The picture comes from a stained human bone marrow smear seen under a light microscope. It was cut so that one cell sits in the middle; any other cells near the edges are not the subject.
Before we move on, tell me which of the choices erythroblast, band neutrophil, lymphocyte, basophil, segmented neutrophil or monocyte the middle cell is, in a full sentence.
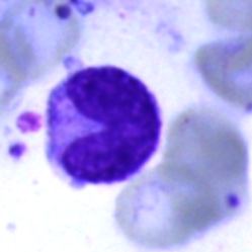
The central cell, amid any neighbouring cells, is a band neutrophil.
